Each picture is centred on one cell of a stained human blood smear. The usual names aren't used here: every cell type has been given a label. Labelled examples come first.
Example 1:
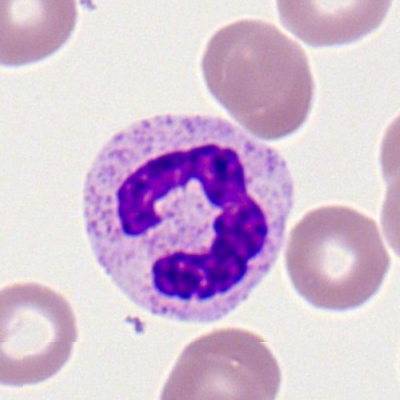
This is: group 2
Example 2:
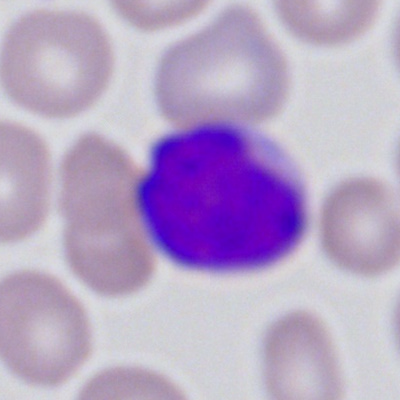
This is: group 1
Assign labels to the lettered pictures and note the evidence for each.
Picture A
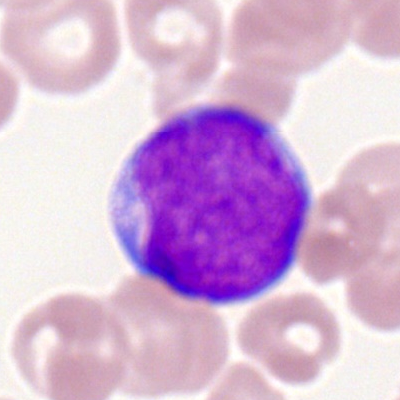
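group 1. Evidence: The cytoplasm stains blue.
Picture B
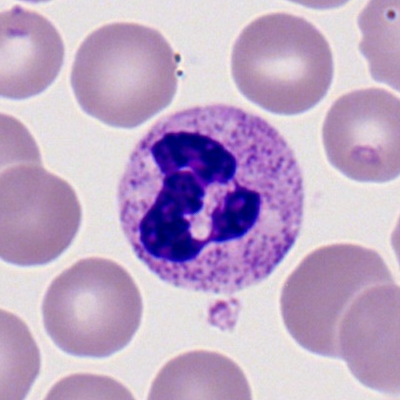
group 2. Evidence: The cytoplasm is abundant and pale pinkish-lilac.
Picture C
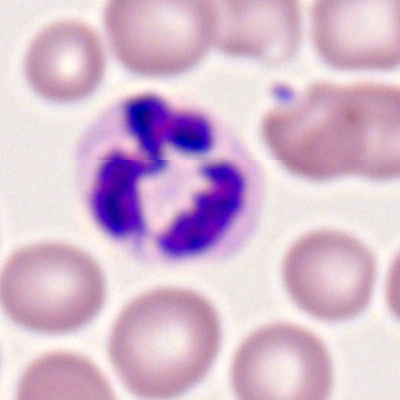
group 2. Evidence: The nucleus is divided into several separate lobes arranged around a pale centre.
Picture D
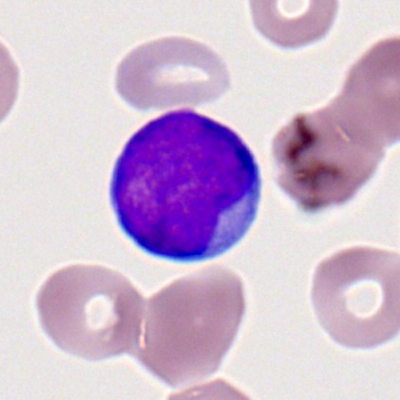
group 1. Evidence: The cytoplasm is scant, seen mainly as a thin crescent at the lower right.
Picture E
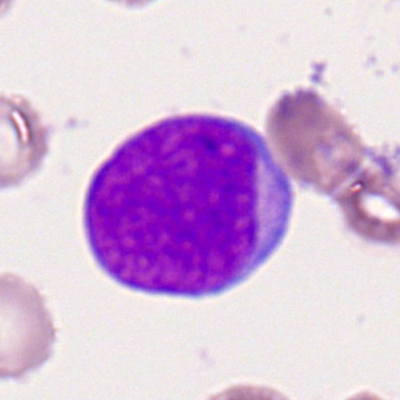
group 1. Evidence: The cytoplasm is scant and pale blue, seen mainly as a crescent on the right side.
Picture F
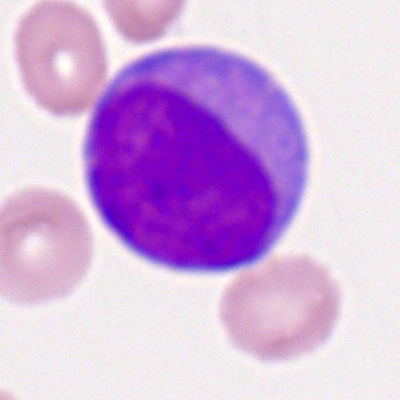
group 1. Evidence: The nucleus fills most of the cell.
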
